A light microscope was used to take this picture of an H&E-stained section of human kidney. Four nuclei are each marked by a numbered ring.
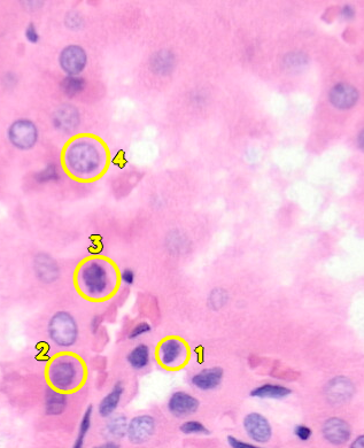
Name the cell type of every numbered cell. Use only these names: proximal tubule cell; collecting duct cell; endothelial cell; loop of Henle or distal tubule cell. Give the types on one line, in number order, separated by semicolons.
collecting duct cell; proximal tubule cell; proximal tubule cell; proximal tubule cell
